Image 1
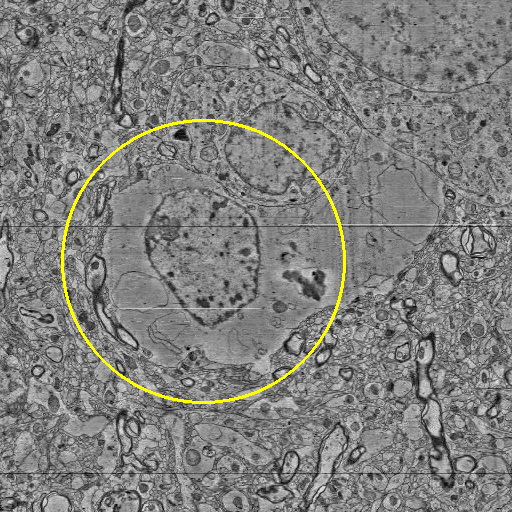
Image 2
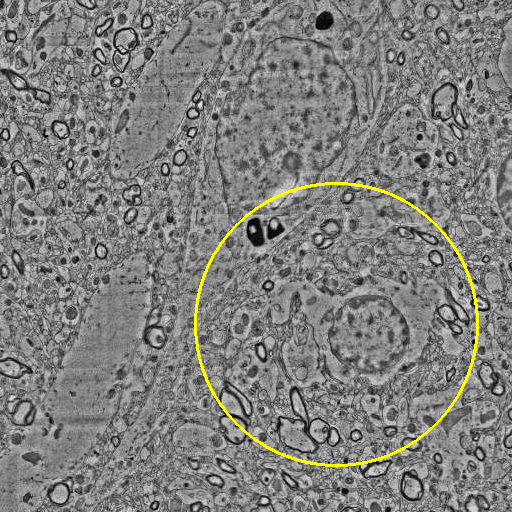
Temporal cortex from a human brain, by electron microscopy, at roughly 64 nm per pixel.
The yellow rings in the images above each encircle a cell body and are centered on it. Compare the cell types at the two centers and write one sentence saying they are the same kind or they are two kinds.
Taken together, the two cells at the ring centers are the same kind.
